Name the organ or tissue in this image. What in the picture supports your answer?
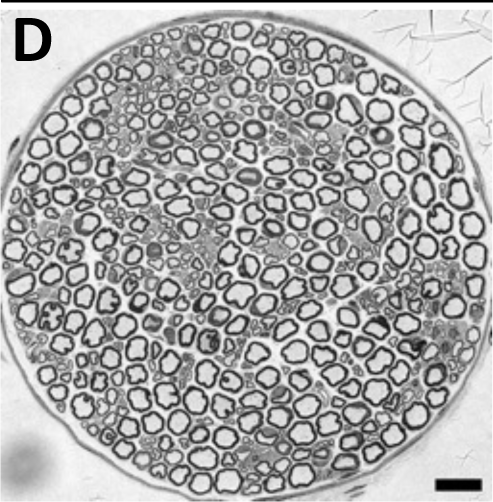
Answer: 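A round cross-section enclosed by a thin outer sheath. Densely filled with dark-rimmed rings of large and small calibre with pale centres. On this evidence: nerves.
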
